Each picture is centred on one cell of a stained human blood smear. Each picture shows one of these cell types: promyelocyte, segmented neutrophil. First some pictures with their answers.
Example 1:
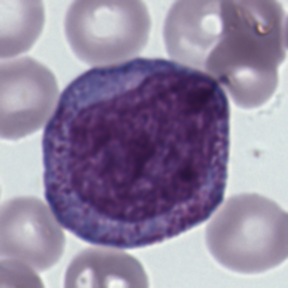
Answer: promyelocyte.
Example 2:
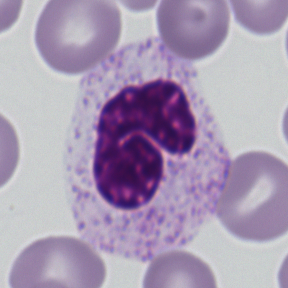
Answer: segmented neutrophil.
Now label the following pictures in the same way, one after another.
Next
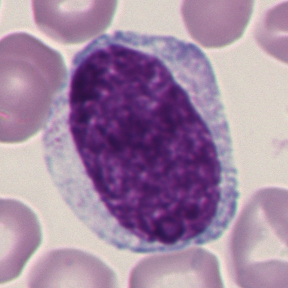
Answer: promyelocyte.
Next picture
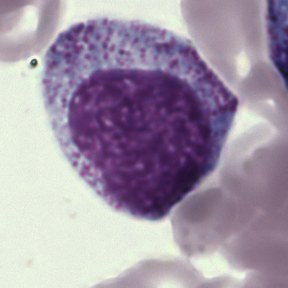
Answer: promyelocyte.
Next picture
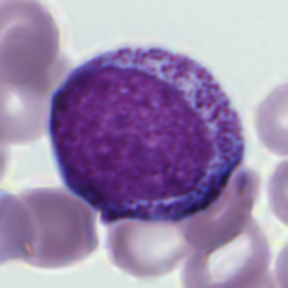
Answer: promyelocyte.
